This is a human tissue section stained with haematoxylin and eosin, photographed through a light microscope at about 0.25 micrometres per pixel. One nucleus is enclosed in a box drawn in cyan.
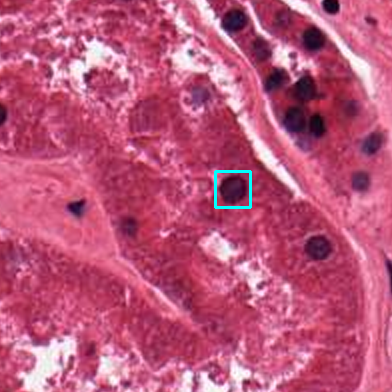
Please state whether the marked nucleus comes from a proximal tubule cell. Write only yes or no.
yes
